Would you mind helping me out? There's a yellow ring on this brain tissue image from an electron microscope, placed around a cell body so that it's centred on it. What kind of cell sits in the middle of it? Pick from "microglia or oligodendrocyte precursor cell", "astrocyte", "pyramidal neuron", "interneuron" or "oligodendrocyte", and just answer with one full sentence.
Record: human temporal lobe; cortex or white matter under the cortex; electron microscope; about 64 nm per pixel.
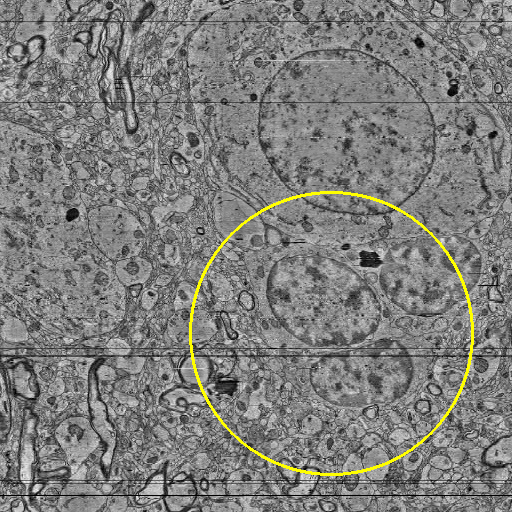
What sits in the middle of that yellow ring is an oligodendrocyte, from your choices.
